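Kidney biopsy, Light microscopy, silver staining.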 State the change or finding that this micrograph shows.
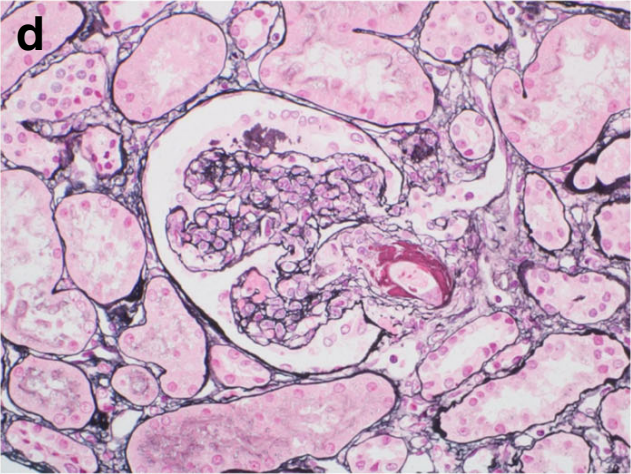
Fibrinoid necrosis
